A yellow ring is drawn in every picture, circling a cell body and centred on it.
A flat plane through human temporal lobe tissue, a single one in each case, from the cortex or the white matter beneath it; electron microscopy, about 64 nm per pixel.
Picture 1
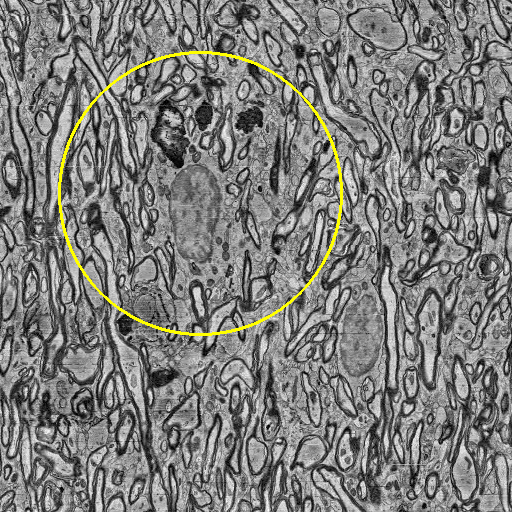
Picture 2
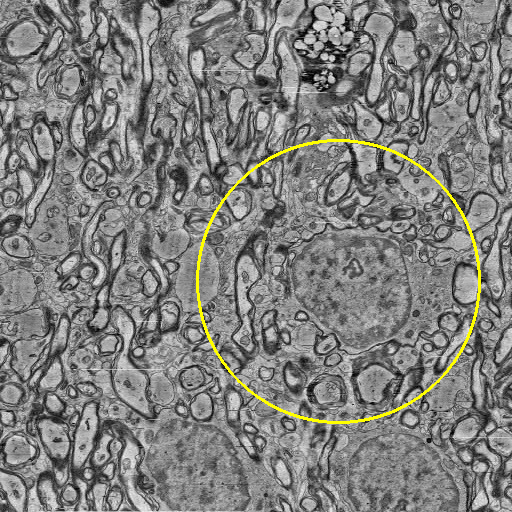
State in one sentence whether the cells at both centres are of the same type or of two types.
The cells at the two ring centres, one per picture, are of the same type.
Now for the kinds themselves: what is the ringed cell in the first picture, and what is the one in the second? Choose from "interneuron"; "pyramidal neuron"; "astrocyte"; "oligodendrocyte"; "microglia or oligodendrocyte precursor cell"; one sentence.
Each one of the two ringed cells is an oligodendrocyte.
